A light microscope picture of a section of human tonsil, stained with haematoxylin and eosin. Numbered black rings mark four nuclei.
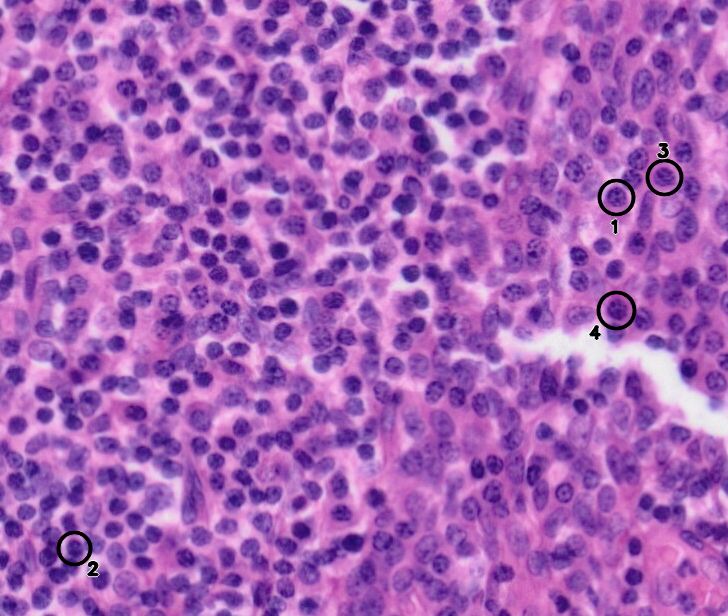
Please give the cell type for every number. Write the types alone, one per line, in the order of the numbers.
plasma cell
small lymphocyte
plasma cell
plasma cell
